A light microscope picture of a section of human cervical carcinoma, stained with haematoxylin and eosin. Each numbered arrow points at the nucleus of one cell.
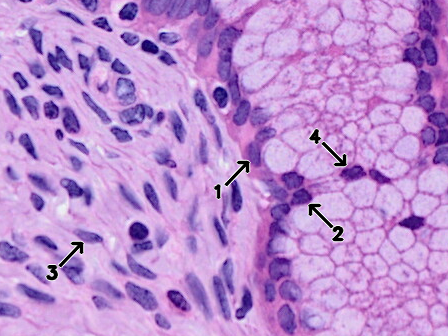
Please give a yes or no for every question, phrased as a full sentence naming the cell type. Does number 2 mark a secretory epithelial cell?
Yes, the numbered nucleus 2 is that of a secretory epithelial cell.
